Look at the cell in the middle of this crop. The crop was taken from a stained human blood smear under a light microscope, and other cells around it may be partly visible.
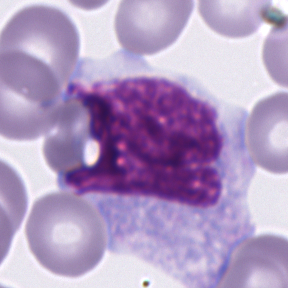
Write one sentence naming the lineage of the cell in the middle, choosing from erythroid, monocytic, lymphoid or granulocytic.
The cell centered in the crop is included in the monocytic lineage.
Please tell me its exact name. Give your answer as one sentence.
The cell sitting right in the middle is a monocyte.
